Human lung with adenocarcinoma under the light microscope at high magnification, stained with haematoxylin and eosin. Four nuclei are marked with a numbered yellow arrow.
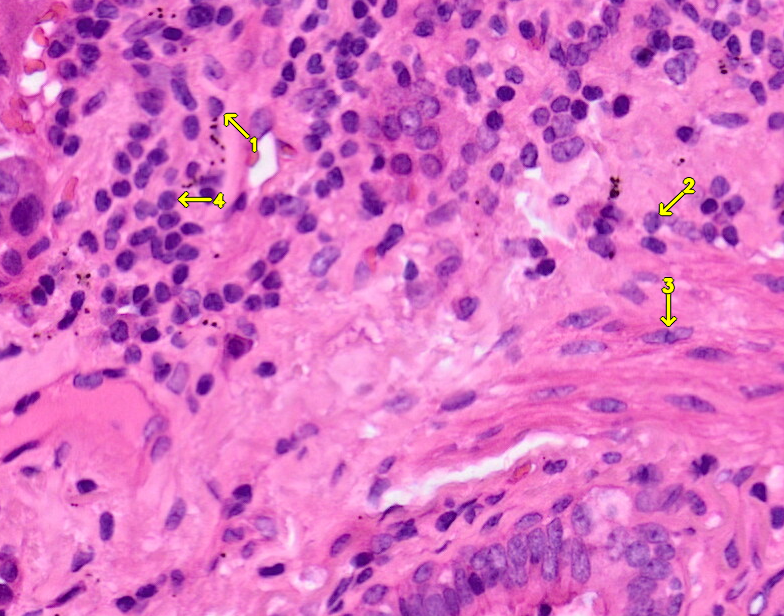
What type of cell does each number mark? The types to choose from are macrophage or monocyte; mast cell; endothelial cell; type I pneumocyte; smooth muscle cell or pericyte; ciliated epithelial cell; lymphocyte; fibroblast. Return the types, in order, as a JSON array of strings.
["lymphocyte", "lymphocyte", "smooth muscle cell or pericyte", "lymphocyte"]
